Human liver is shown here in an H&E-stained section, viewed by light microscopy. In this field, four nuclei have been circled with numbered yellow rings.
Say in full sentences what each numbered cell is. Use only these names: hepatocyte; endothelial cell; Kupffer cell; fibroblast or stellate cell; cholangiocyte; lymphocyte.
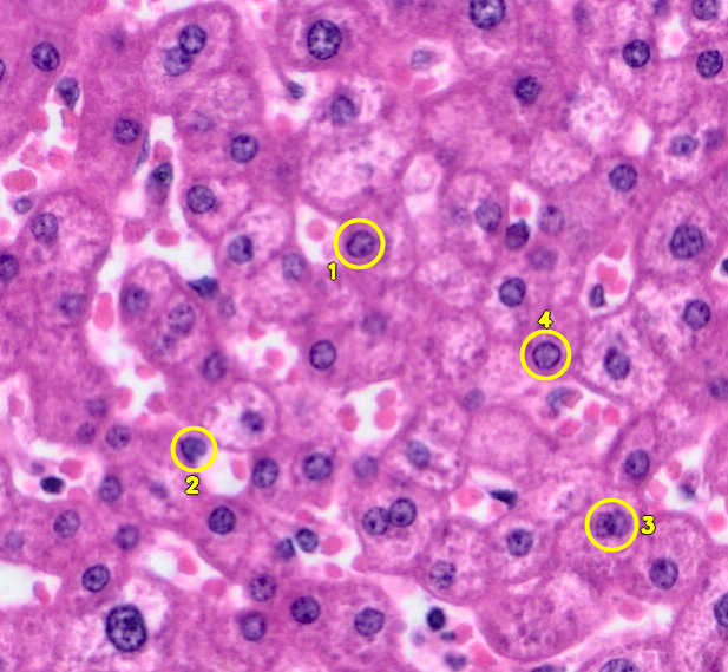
Cells 1, 3 and 4 are hepatocytes. Cell 2 is a fibroblast or stellate cell.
